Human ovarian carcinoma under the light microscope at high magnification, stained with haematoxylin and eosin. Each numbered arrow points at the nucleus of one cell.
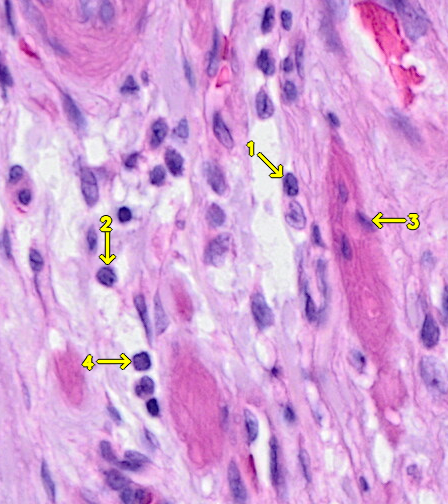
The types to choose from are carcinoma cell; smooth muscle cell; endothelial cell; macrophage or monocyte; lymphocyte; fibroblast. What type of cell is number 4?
lymphocyte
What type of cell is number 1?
lymphocyte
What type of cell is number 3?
smooth muscle cell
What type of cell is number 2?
lymphocyte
